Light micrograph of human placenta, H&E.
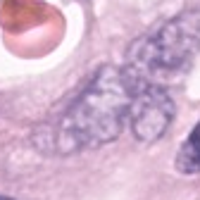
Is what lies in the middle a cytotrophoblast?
Yes, it is a cytotrophoblast.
